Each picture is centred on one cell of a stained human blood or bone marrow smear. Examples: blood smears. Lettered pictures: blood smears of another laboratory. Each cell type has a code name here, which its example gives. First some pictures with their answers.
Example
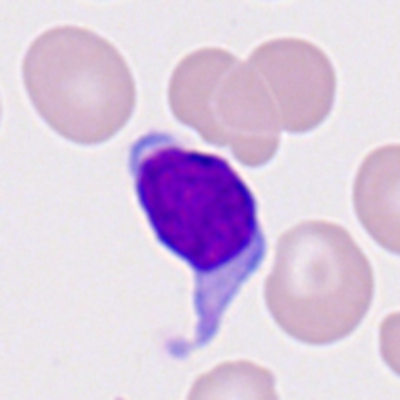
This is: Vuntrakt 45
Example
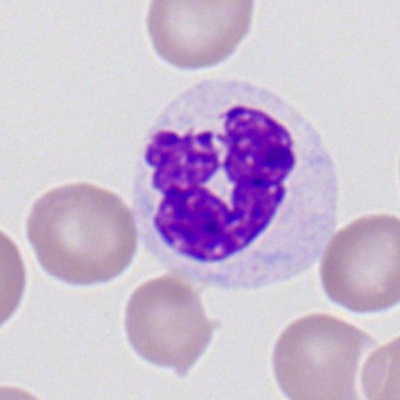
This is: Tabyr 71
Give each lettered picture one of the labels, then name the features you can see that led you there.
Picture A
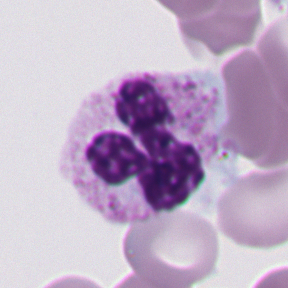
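Tabyr 71. The cytoplasm is abundant and pale, with a faint lilac tint.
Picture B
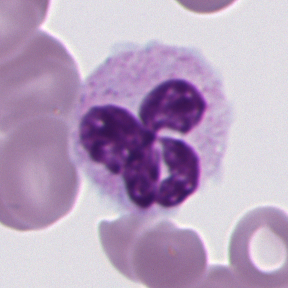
Tabyr 71. The cytoplasm is pale pinkish-lilac rather than blue.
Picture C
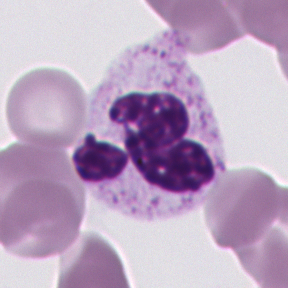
Tabyr 71. The cytoplasm is plentiful and pale pinkish-lilac.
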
